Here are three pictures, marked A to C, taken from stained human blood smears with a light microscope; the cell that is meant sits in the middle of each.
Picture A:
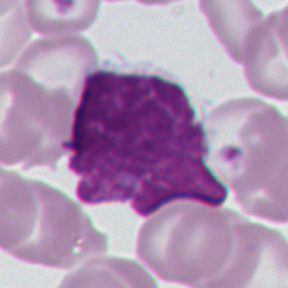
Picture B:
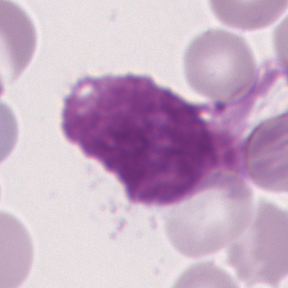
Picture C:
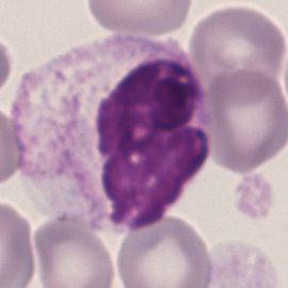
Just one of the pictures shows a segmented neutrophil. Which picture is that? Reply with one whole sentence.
The segmented neutrophil is the one in picture C.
